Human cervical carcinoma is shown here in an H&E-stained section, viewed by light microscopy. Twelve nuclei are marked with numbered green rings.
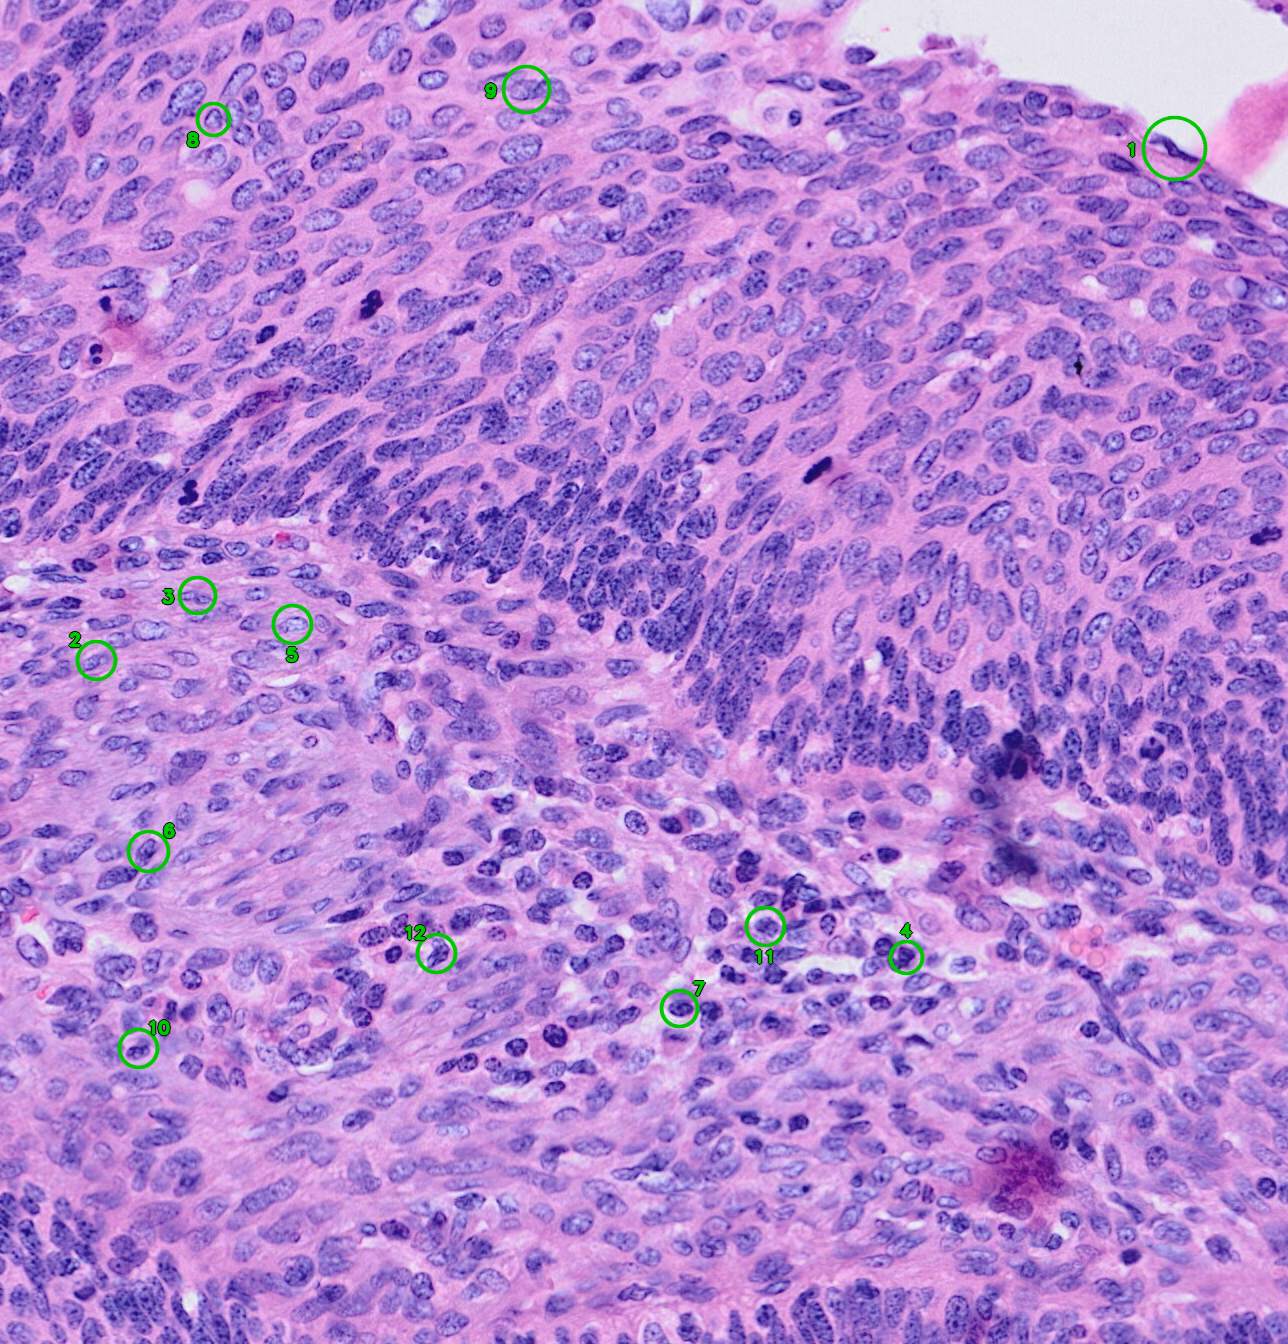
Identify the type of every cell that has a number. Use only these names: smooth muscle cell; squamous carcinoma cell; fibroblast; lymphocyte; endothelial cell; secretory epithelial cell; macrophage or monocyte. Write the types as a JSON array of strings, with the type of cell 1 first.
["squamous carcinoma cell", "smooth muscle cell", "smooth muscle cell", "lymphocyte", "smooth muscle cell", "lymphocyte", "lymphocyte", "squamous carcinoma cell", "squamous carcinoma cell", "lymphocyte", "lymphocyte", "lymphocyte"]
